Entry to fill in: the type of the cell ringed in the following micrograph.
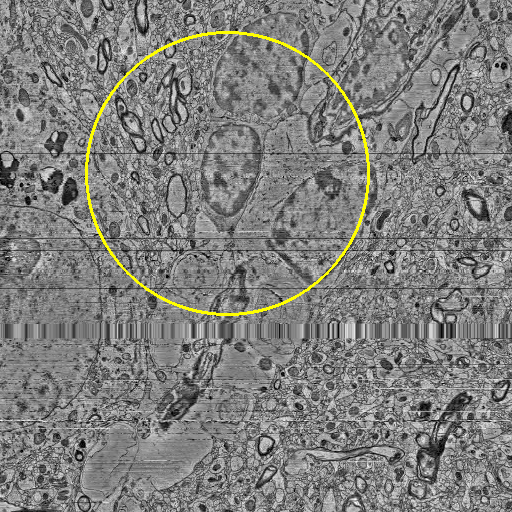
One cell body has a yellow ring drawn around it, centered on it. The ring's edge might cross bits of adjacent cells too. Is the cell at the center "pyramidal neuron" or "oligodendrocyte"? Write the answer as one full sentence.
This entry names an oligodendrocyte as the cell whose body lies at the ring's center.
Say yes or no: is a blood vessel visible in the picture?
Yes, a blood vessel shows in the picture.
